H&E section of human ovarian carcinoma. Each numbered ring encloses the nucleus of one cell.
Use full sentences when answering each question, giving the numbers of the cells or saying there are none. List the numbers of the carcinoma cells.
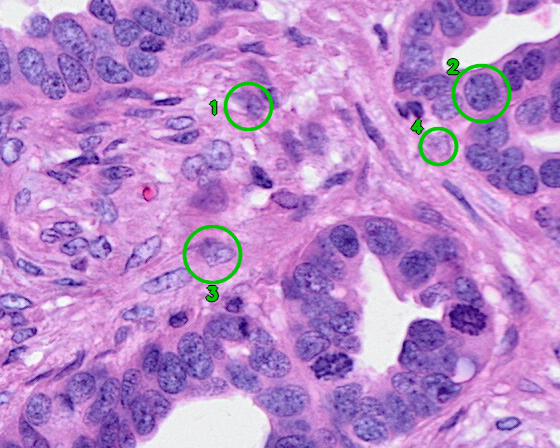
Cell 2 is a carcinoma cell, and it is the only numbered cell that is.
